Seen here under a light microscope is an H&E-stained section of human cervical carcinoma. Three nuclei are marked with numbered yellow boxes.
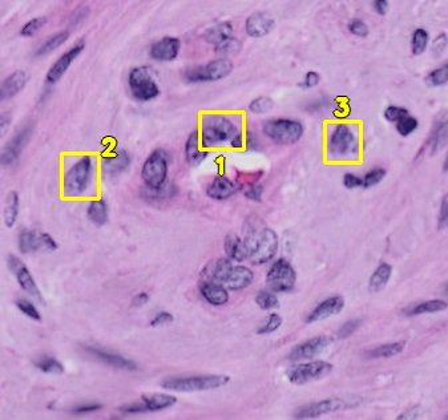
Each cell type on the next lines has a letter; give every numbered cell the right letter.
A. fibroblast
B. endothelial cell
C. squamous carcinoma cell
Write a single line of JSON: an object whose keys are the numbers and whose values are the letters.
{"1": "B", "2": "A", "3": "A"}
